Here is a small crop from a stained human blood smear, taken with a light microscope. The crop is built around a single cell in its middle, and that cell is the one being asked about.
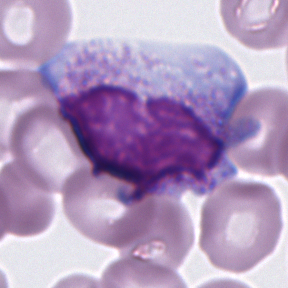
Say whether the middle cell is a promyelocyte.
yes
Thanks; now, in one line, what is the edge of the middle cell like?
An irregular outline, ragged or marked by projections, surrounds this cell.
